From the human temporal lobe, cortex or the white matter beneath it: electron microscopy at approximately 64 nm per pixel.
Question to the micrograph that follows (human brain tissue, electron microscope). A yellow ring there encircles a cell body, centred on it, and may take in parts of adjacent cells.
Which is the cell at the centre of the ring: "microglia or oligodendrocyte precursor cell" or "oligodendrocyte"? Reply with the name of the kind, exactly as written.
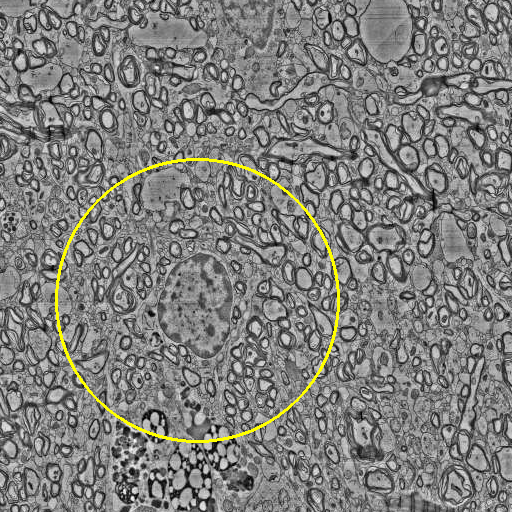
microglia or oligodendrocyte precursor cell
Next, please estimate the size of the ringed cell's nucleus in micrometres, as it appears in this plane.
The ringed cell's nucleus measures approximately 6 by 5 micrometres in this plane.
